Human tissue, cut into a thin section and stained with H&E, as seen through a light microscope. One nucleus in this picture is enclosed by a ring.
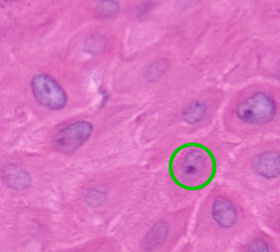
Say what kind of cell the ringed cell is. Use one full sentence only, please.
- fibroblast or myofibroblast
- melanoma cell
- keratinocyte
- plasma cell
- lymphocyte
At the level of cell identity, the ringed cell is a keratinocyte.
